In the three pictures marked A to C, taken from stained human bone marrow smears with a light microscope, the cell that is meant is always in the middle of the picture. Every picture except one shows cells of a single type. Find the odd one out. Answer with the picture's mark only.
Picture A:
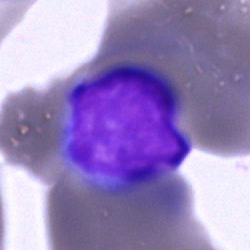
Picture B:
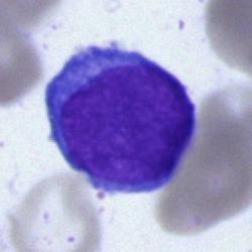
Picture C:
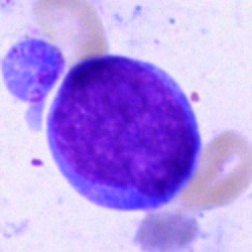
A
